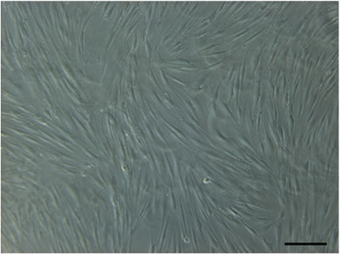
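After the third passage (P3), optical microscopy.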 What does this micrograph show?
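This is a dense, near-confluent culture of adherent cells seen unstained under the light microscope. The cells are long, slender and spindle-shaped, like fibroblasts. They lie packed side by side and run parallel in streams. Where neighbouring streams meet they change direction, giving a swirling pattern across the field. Little free space is left between the cells.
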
